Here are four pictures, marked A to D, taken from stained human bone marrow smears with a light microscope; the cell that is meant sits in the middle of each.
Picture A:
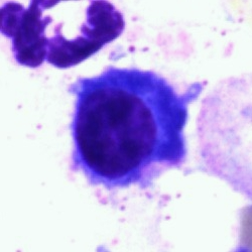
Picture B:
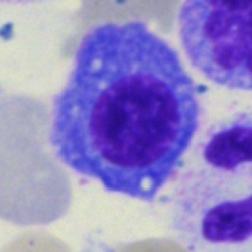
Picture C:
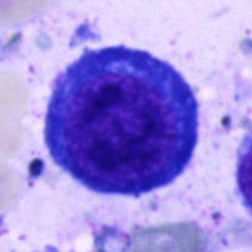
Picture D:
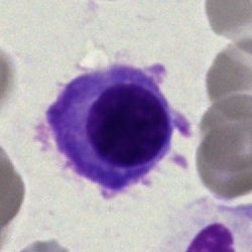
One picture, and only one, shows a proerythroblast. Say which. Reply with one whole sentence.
The cell in picture C is the proerythroblast.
